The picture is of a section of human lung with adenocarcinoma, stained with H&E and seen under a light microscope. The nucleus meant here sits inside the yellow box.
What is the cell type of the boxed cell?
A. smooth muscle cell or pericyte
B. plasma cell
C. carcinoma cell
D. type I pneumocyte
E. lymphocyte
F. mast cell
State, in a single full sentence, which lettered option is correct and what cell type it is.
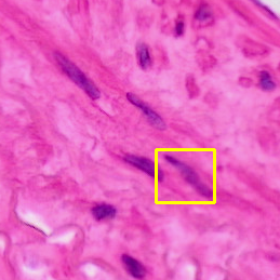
Here the boxed cell is a smooth muscle cell or pericyte, which makes option A correct.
